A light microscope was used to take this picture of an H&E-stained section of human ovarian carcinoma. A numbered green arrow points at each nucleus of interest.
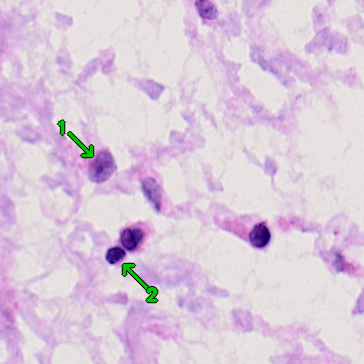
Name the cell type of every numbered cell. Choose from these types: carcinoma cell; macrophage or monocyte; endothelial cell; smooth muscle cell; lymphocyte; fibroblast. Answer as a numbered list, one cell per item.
1. fibroblast
2. lymphocyte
